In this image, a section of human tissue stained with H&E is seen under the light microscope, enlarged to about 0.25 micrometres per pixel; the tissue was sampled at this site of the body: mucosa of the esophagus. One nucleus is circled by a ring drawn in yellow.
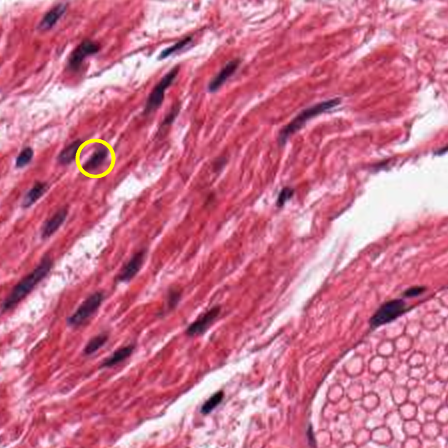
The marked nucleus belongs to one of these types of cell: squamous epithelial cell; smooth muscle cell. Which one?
smooth muscle cell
